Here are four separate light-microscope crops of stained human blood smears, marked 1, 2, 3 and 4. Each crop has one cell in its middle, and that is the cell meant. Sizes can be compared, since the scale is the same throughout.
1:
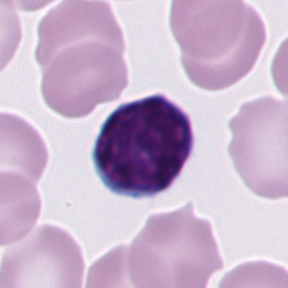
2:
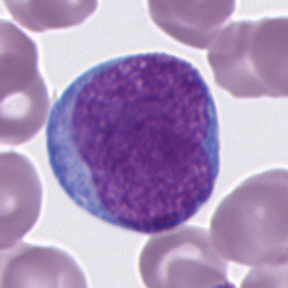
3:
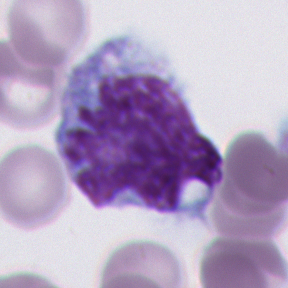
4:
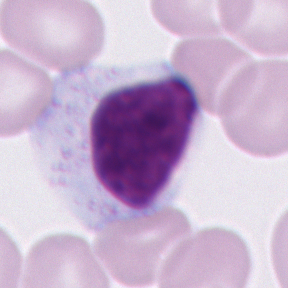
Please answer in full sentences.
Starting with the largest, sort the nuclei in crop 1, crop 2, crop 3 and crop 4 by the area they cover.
Going down, they run 2, 3, 4, 1.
